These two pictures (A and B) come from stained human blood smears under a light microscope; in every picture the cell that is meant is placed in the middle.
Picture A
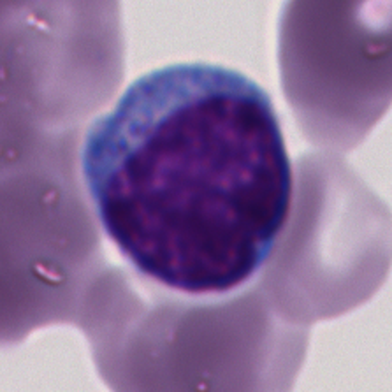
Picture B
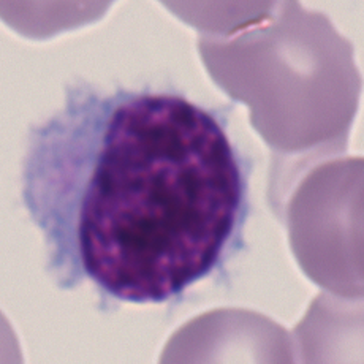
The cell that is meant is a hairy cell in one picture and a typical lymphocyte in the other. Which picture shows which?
A: typical lymphocyte
B: hairy cell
